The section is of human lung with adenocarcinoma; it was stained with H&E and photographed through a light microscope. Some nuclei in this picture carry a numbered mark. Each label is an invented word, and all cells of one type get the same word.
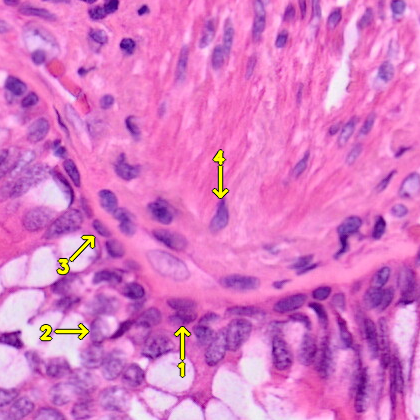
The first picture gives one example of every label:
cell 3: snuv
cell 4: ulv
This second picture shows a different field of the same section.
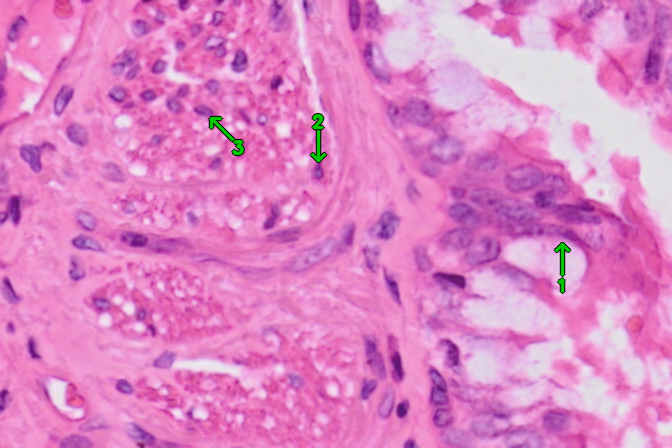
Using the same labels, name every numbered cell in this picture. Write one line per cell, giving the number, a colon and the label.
1: snuv
2: ulv
3: ulv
